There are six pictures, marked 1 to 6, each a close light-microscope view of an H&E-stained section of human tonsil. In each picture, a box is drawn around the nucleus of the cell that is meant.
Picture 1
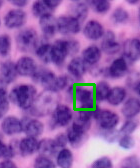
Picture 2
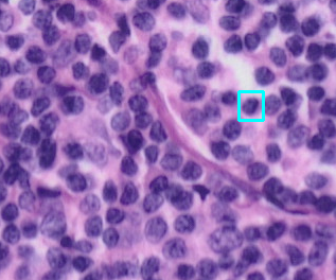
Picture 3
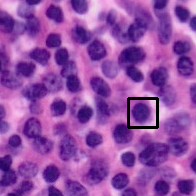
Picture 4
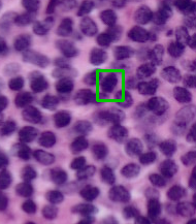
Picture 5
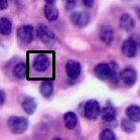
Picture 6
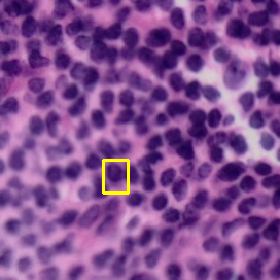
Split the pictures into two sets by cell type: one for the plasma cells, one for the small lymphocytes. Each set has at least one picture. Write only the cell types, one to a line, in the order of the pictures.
small lymphocyte
small lymphocyte
plasma cell
small lymphocyte
plasma cell
small lymphocyte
